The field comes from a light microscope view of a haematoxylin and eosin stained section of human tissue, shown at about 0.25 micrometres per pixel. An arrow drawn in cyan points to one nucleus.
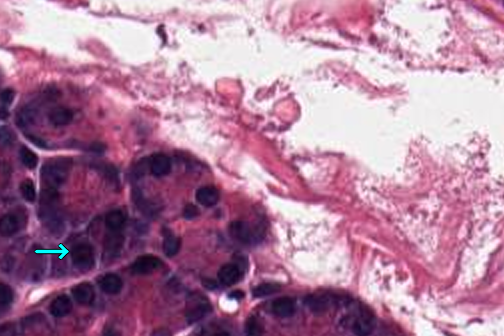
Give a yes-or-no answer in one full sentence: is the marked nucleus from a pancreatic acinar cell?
Yes, within this field the marked nucleus is that of a pancreatic acinar cell.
